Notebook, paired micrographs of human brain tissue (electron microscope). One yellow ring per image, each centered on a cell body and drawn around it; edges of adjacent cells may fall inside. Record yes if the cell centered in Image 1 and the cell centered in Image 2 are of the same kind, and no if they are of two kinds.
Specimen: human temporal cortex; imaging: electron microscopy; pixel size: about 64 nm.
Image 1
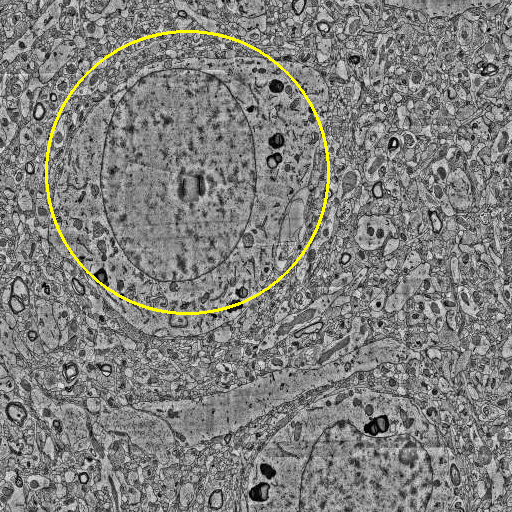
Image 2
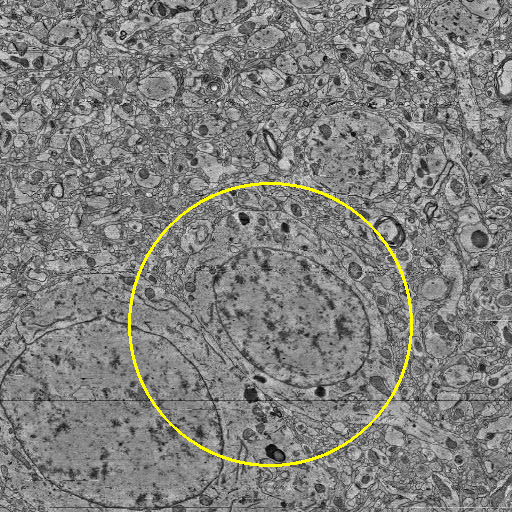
yes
